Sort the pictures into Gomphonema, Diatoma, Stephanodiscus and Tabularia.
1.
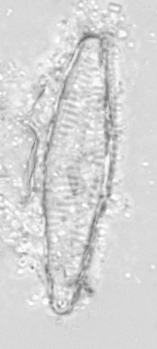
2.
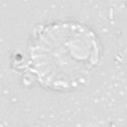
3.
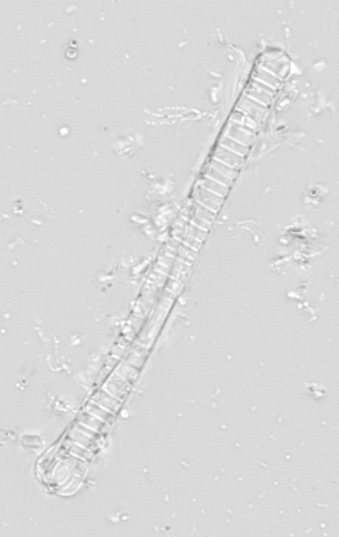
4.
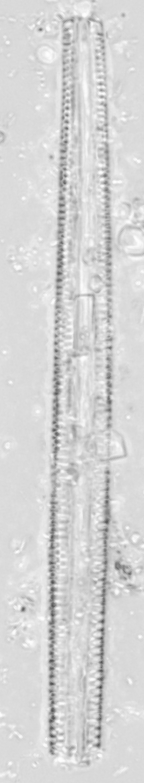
Gomphonema: 1
Stephanodiscus: 2
Diatoma: 3
Tabularia: 4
